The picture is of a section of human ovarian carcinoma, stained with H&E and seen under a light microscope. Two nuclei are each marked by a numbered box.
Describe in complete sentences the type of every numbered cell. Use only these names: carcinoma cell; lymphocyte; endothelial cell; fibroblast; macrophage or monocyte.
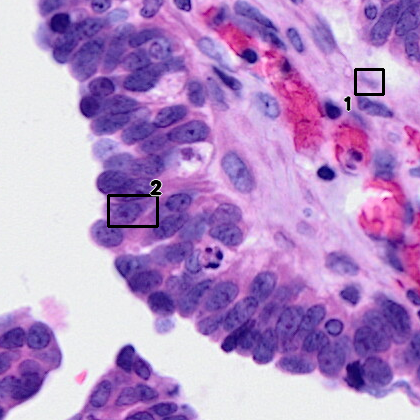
Cell 1 is a fibroblast and cell 2 is a carcinoma cell.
